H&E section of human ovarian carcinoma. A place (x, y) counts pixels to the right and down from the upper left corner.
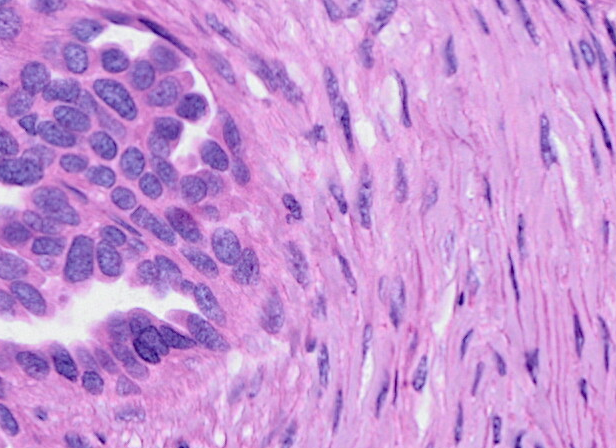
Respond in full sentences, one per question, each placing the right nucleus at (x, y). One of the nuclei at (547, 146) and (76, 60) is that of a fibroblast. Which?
The nucleus that belongs to a fibroblast is located at (547, 146).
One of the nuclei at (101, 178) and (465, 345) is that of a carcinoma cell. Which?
Of the two, the nucleus at (101, 178) is the one contained in a carcinoma cell.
